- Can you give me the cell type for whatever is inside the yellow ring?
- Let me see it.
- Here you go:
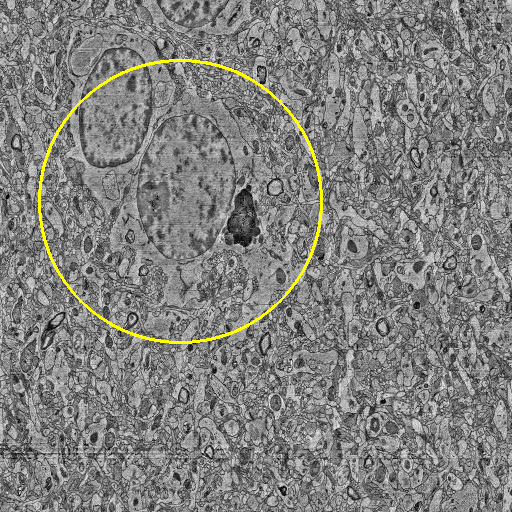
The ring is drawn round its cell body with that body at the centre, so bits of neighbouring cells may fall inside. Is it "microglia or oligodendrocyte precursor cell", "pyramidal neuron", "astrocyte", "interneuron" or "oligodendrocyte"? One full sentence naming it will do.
The cell body in the middle of the ring in this picture belongs to an astrocyte.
